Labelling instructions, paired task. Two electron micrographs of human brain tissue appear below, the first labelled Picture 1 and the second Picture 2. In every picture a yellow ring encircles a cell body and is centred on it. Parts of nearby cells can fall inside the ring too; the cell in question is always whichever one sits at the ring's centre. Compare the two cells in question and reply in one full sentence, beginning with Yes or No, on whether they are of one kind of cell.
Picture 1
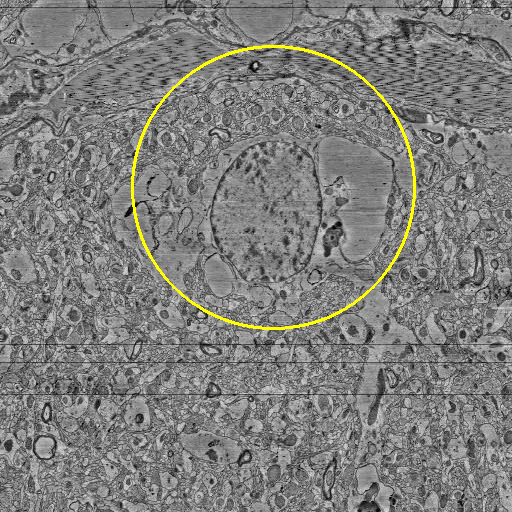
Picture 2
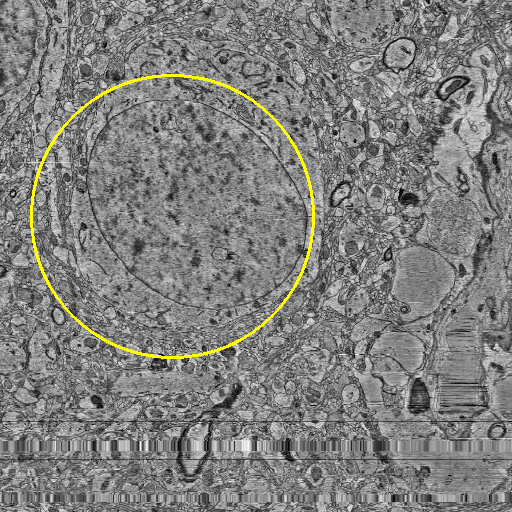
No, the two cells at the ring centres in Picture 1 and Picture 2 are of two kinds.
